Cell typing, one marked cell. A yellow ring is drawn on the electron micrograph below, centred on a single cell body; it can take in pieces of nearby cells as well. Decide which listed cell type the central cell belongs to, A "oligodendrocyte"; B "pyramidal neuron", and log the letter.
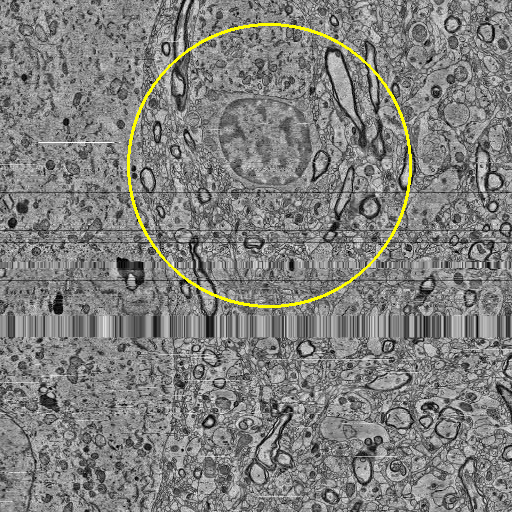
A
